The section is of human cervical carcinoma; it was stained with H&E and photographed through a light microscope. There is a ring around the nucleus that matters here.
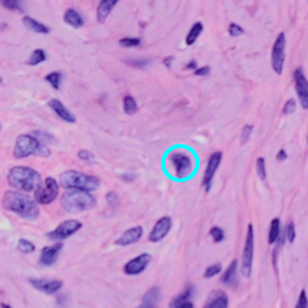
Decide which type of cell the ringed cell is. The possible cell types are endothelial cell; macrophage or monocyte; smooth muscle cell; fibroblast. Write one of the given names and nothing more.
fibroblast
